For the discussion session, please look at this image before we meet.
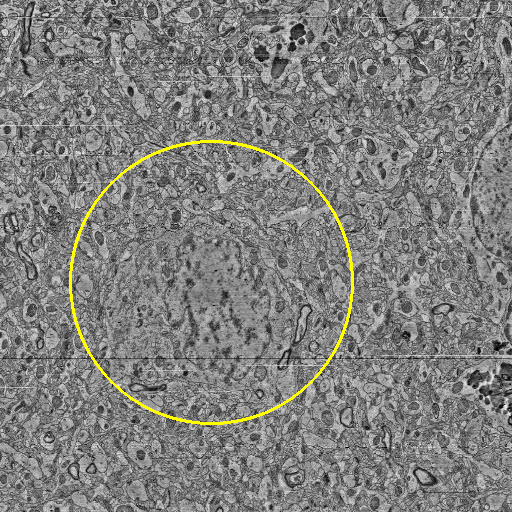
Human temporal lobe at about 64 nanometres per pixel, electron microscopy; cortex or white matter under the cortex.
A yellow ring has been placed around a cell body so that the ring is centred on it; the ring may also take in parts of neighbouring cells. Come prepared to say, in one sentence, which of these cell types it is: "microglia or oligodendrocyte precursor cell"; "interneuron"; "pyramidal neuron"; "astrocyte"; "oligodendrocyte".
The cell centred in the ring is an interneuron.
